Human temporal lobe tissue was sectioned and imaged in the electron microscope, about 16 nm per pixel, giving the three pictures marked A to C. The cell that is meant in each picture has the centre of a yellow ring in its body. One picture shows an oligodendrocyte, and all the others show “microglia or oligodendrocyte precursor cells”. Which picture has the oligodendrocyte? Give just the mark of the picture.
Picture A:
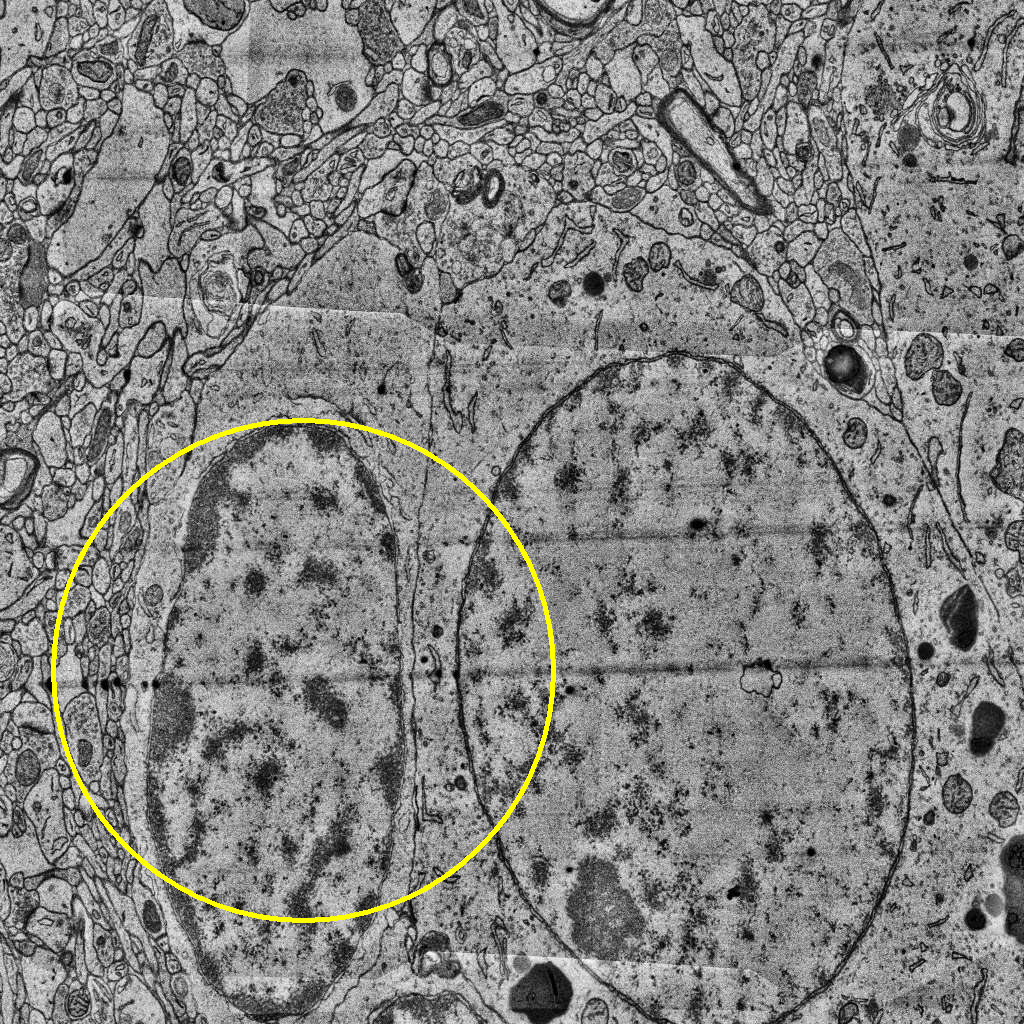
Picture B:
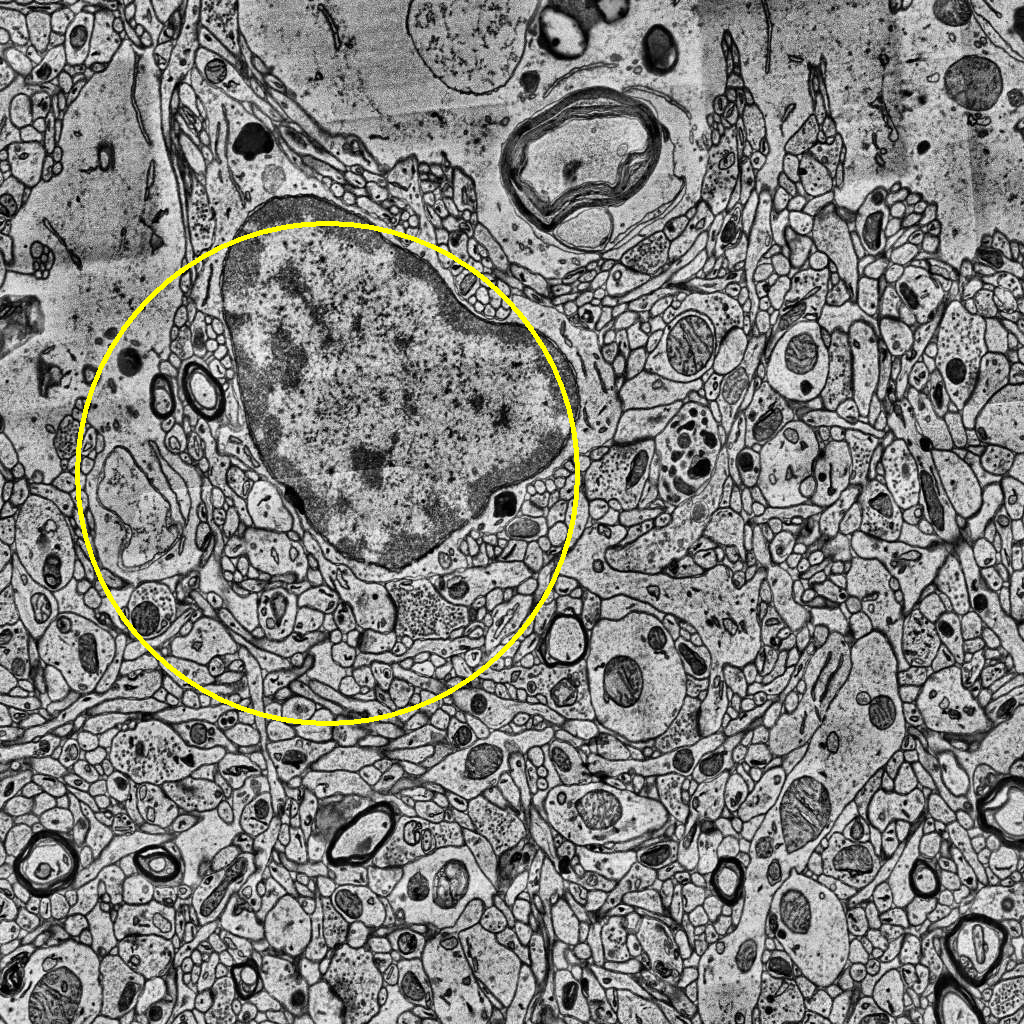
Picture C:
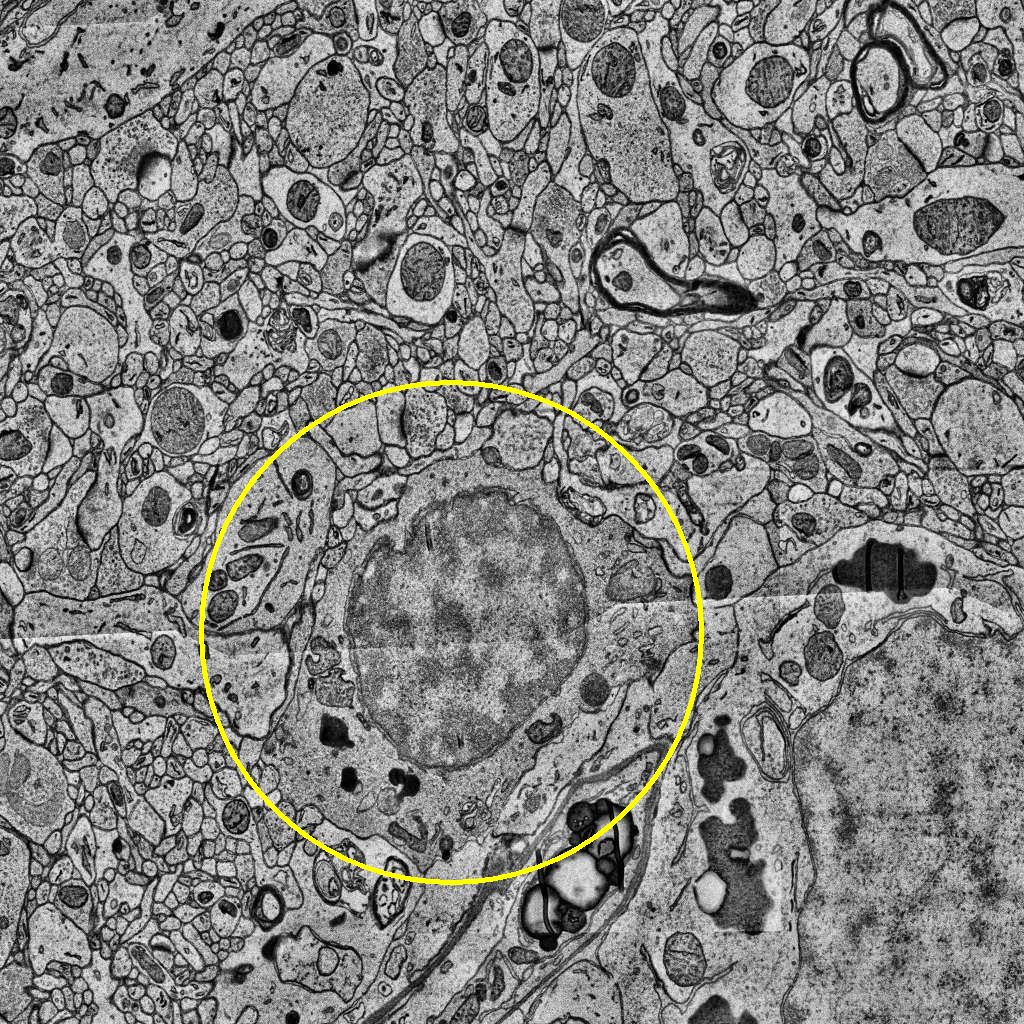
C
